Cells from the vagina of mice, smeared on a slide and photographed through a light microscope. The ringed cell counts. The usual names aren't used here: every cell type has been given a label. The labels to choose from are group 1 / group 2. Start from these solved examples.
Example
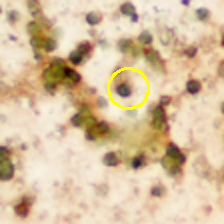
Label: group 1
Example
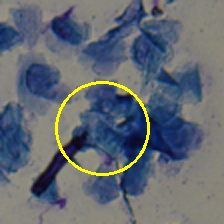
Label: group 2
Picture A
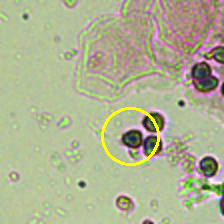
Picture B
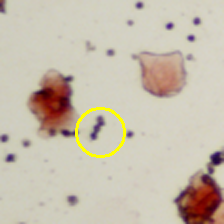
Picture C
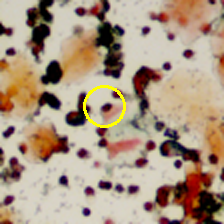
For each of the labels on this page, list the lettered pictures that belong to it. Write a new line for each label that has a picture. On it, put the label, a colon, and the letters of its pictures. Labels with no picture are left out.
group 1: A, B, C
